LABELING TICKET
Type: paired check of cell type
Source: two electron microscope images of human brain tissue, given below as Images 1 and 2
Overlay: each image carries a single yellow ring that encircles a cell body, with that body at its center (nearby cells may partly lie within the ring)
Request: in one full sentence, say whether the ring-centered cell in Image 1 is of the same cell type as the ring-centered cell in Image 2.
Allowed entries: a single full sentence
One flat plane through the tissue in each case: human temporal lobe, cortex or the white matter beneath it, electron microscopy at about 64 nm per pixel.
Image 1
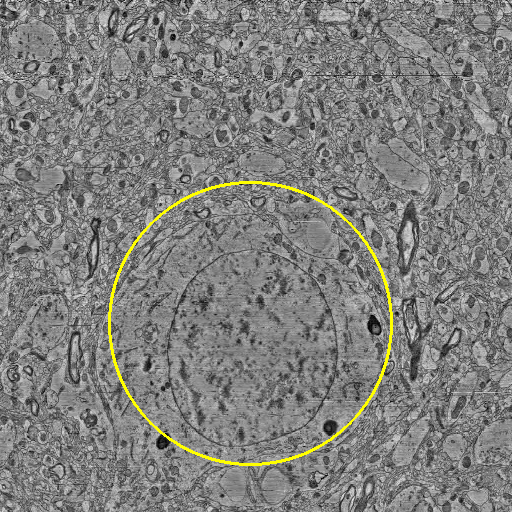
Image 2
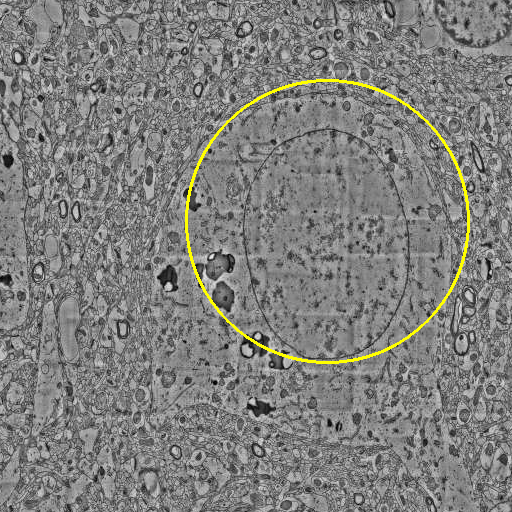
Yes, the cells centered in the rings of Image 1 and Image 2 share one type.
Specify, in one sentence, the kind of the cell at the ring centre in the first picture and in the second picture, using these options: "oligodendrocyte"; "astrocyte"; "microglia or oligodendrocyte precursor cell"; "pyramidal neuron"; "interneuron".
The ring centre holds a pyramidal neuron in each of the two pictures.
